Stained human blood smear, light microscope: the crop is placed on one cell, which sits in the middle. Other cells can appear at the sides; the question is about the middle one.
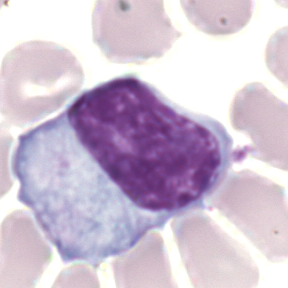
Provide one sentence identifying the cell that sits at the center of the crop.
The centrally placed cell is classified as a plasma cell.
